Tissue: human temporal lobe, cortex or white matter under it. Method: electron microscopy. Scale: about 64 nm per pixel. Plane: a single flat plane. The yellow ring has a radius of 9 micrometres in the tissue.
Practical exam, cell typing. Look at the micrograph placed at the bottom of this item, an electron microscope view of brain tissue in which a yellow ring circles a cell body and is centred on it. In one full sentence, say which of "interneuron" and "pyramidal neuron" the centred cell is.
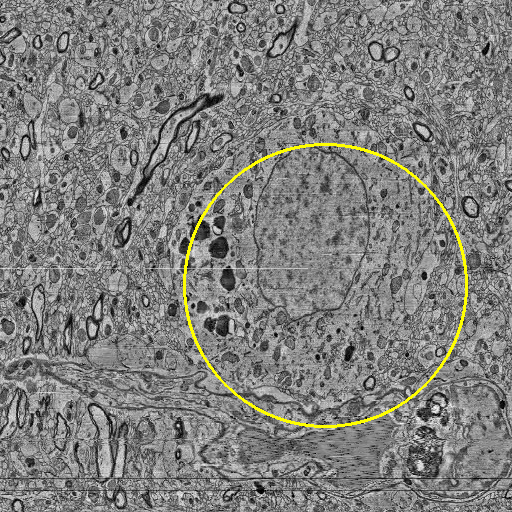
Given the options, a pyramidal neuron fits the cell whose body the yellow ring is centred on.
